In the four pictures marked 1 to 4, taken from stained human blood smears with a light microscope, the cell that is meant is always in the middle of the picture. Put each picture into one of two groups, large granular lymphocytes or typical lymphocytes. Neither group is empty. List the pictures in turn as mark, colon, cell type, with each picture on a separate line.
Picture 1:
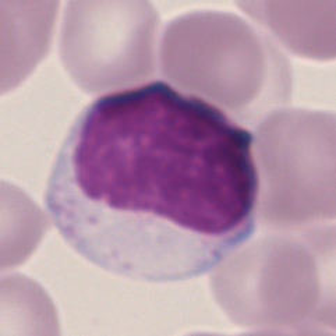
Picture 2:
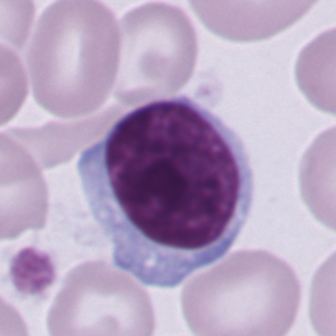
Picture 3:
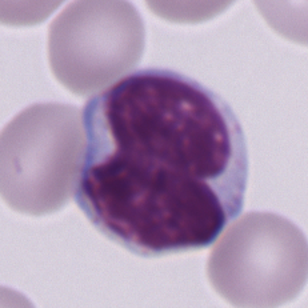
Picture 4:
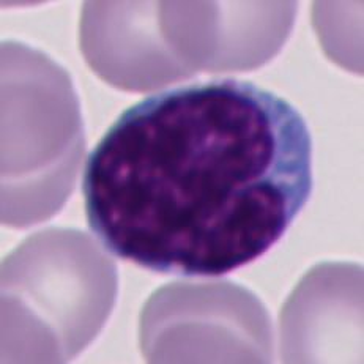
1: large granular lymphocyte
2: typical lymphocyte
3: large granular lymphocyte
4: typical lymphocyte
